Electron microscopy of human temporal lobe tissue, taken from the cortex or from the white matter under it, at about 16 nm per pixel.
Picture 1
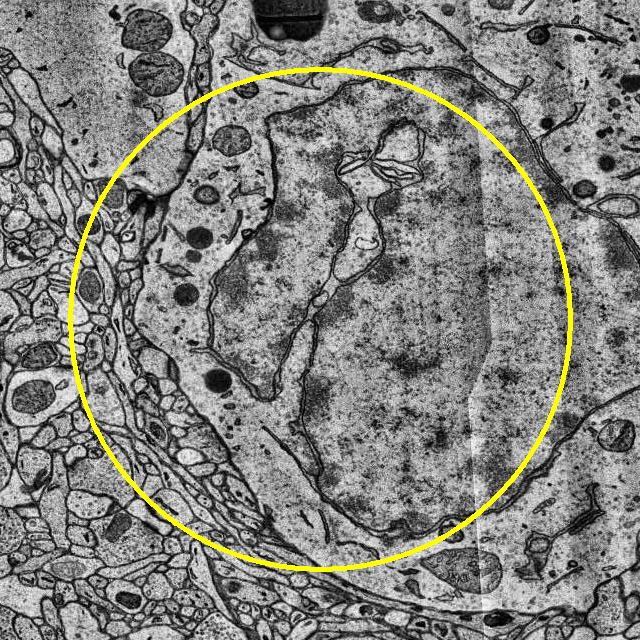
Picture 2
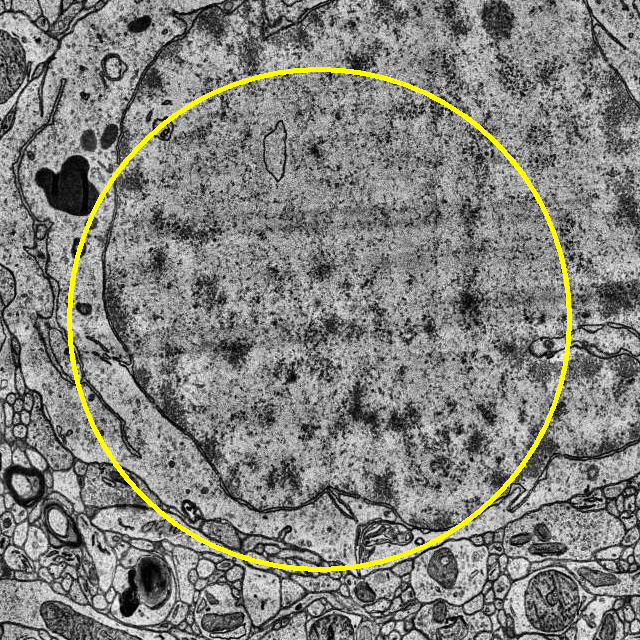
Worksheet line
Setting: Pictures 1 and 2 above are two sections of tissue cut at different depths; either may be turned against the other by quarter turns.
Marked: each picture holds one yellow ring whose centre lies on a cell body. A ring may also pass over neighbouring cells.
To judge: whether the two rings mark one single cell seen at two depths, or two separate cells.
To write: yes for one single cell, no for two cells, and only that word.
yes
